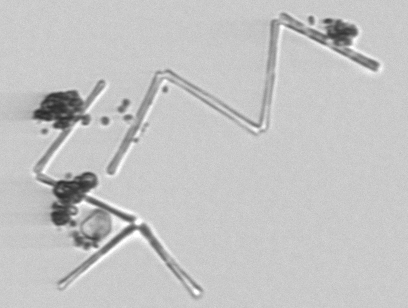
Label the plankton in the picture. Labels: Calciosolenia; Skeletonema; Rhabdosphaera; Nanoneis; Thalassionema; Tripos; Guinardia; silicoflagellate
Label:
Thalassionema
